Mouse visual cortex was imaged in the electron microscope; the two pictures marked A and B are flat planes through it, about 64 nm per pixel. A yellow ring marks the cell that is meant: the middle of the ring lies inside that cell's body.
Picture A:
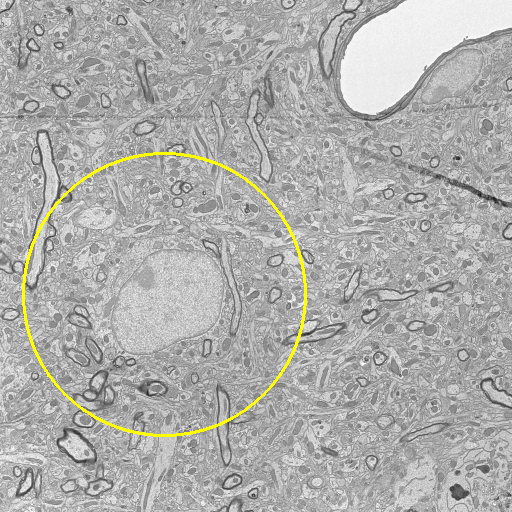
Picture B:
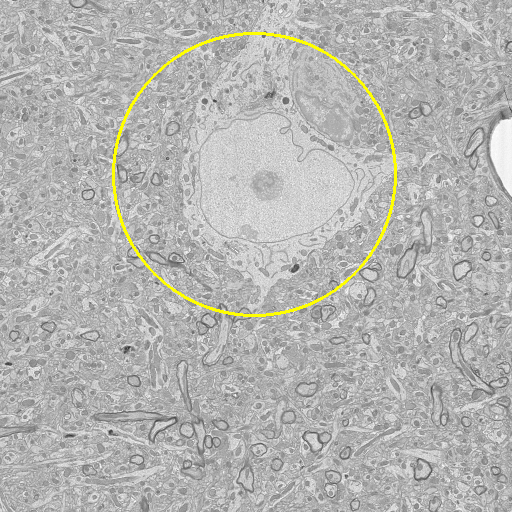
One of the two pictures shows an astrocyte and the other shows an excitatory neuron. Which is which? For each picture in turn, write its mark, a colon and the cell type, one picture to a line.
A: astrocyte
B: excitatory neuron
